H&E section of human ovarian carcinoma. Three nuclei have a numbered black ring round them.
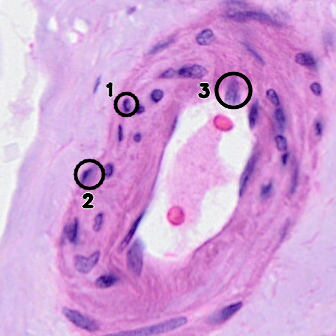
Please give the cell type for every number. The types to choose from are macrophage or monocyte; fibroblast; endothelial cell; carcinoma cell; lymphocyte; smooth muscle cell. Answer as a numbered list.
1. smooth muscle cell
2. smooth muscle cell
3. endothelial cell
